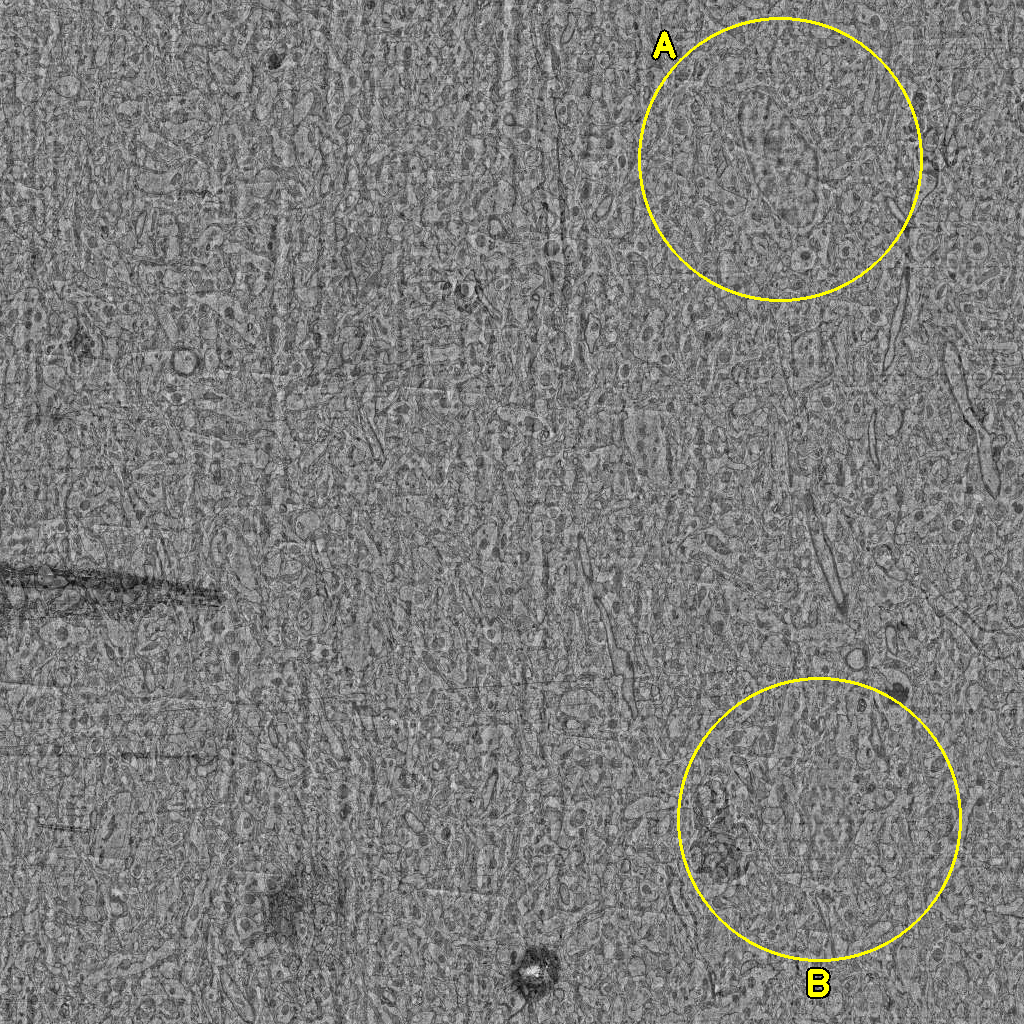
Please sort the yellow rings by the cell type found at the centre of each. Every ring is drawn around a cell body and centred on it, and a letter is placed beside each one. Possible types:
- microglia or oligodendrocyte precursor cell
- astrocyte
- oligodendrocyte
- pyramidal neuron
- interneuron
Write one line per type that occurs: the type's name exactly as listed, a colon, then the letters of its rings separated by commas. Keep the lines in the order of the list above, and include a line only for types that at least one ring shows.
microglia or oligodendrocyte precursor cell: A
oligodendrocyte: B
